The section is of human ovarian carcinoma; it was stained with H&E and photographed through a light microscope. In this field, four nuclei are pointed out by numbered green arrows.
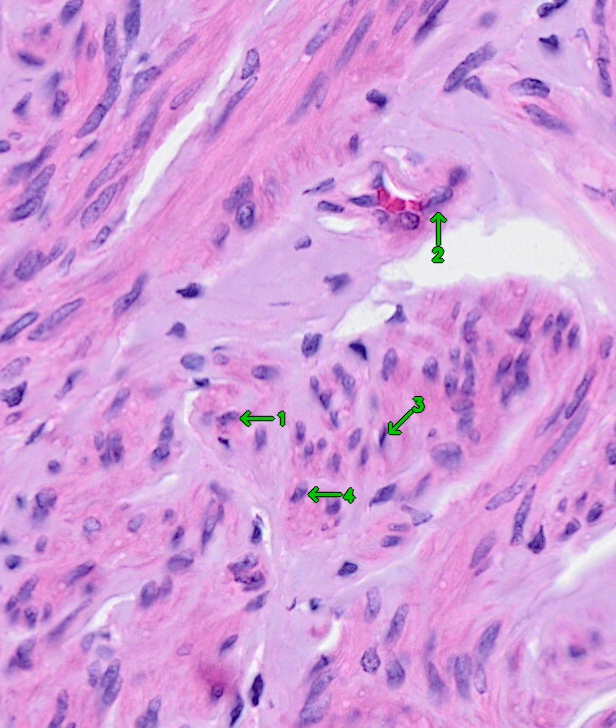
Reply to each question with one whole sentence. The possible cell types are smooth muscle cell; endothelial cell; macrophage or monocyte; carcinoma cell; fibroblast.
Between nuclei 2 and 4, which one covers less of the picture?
It is nucleus 4; nucleus 2 has about 3 times its area.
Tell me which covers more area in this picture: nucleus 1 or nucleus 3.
At about 1.5 times the area of nucleus 3, nucleus 1 is the larger of the two.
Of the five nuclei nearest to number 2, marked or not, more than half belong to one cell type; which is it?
Most of the five nuclei nearest to number 2 are those of endothelial cells.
